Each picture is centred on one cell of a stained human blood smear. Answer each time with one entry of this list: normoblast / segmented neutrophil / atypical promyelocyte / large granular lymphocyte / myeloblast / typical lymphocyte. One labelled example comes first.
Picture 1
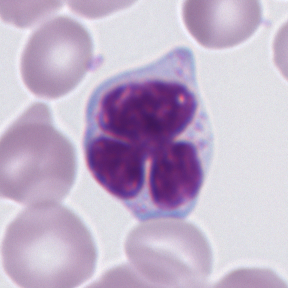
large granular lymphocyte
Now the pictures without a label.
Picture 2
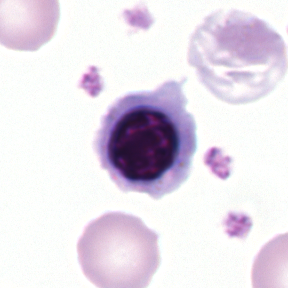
normoblast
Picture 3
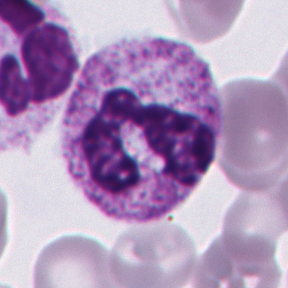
segmented neutrophil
